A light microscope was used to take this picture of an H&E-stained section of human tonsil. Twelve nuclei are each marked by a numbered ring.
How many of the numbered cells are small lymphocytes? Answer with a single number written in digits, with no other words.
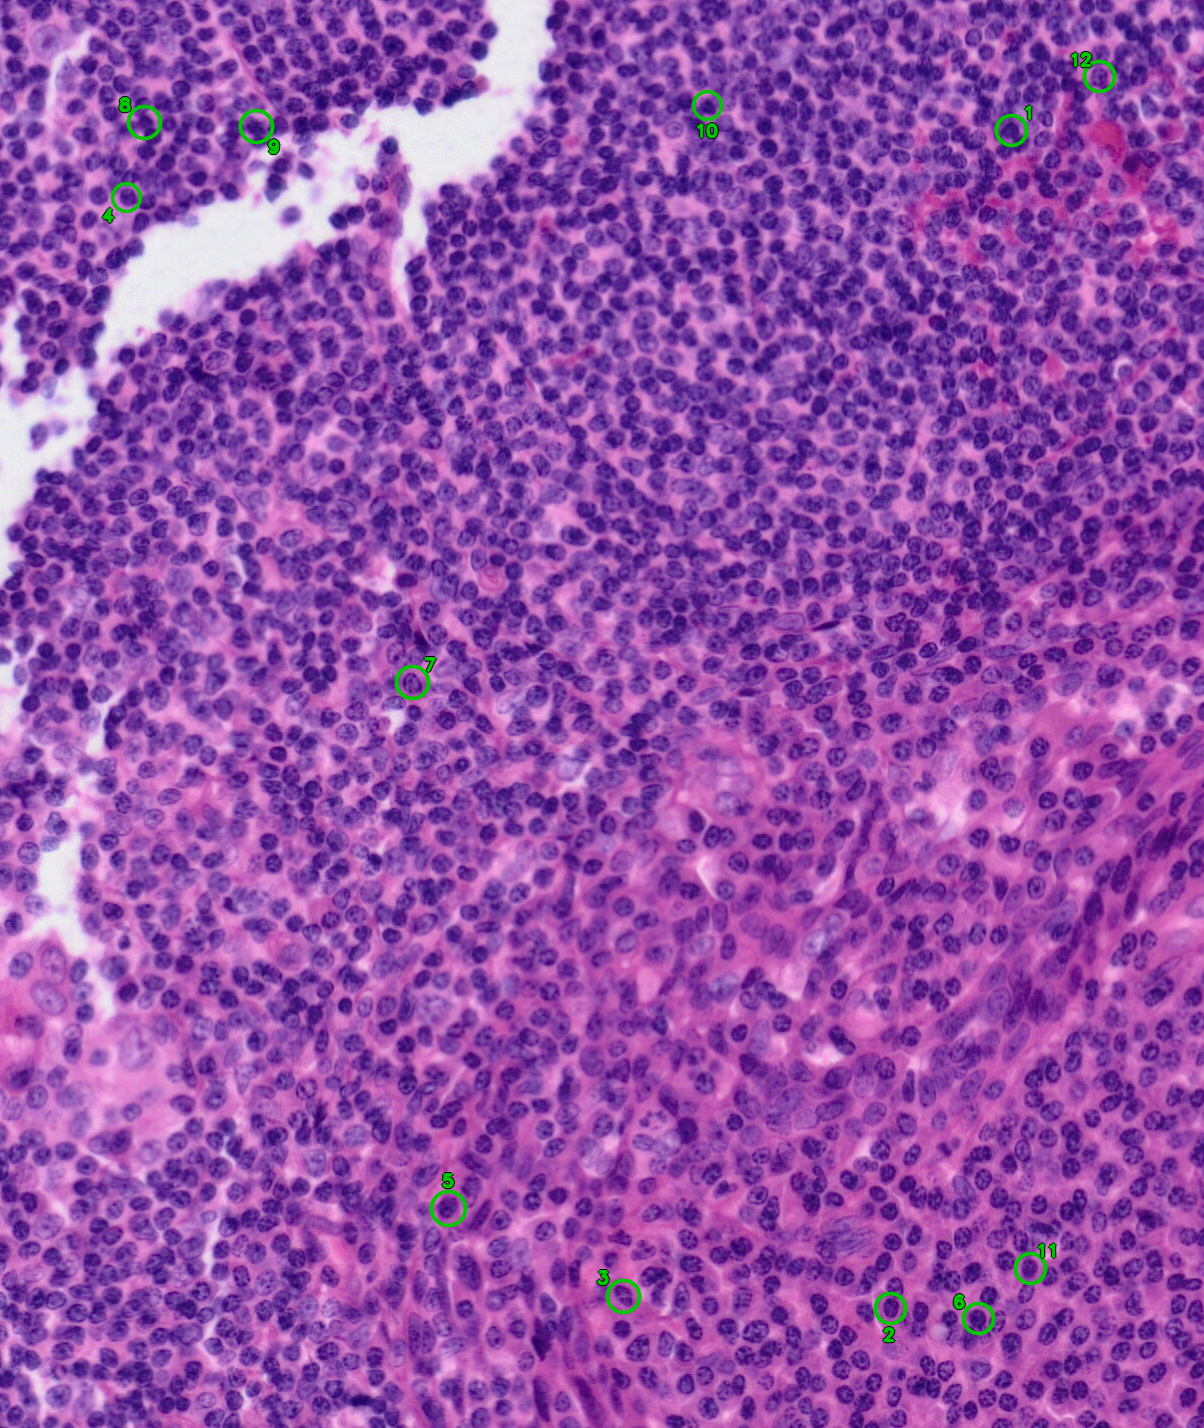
6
